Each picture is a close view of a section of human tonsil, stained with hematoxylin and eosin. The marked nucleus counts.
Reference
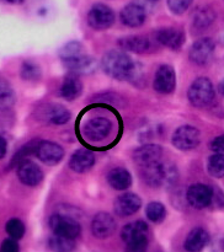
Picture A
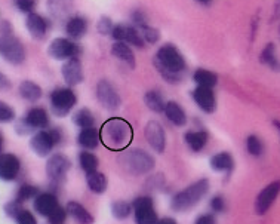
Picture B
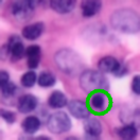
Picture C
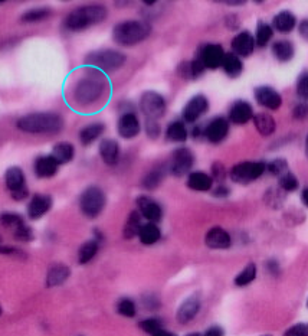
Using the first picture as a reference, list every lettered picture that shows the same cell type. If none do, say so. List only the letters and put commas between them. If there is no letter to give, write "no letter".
no letter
